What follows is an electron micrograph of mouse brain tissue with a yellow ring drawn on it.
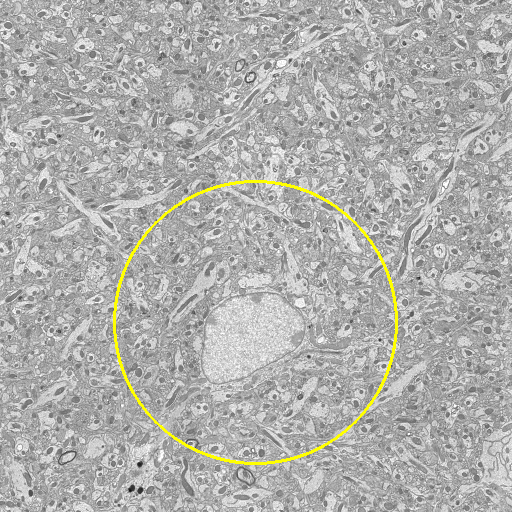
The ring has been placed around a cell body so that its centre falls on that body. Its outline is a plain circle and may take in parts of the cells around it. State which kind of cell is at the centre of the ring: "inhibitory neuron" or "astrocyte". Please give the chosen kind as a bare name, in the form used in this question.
astrocyte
